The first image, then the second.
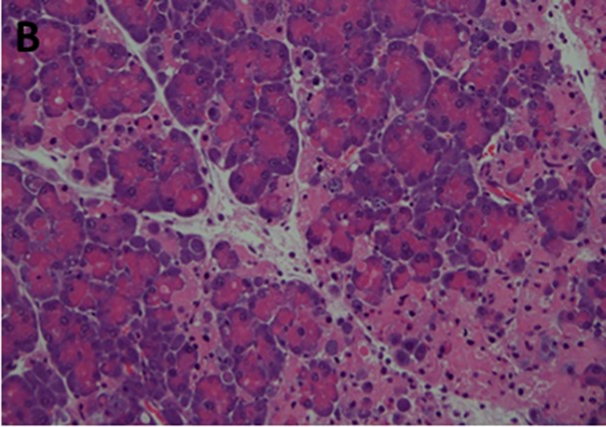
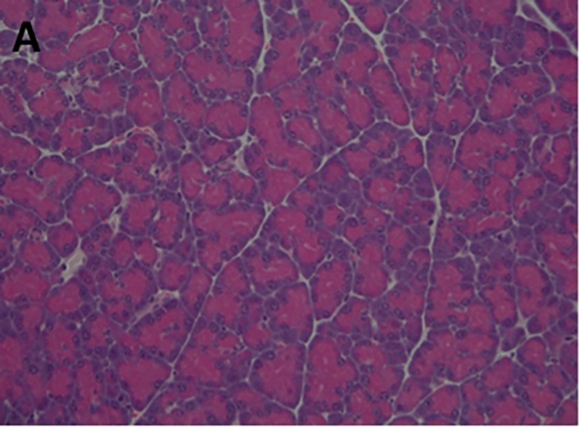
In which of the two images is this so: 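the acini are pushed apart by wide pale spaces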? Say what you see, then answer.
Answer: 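The first image. First image: groups of acini are separated by broad pale pink spaces and loose septa. Second image: acini lie tightly packed with only thin septa between them.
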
